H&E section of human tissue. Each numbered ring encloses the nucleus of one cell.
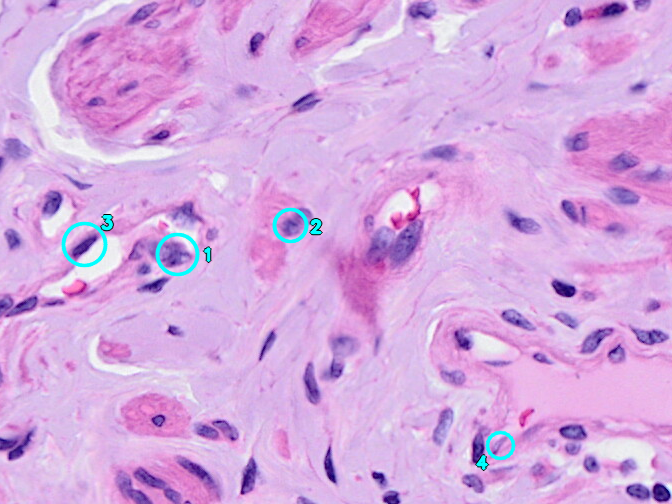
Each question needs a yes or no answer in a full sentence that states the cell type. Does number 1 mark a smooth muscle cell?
No, the one with number 1 is an endothelial cell, not a smooth muscle cell.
